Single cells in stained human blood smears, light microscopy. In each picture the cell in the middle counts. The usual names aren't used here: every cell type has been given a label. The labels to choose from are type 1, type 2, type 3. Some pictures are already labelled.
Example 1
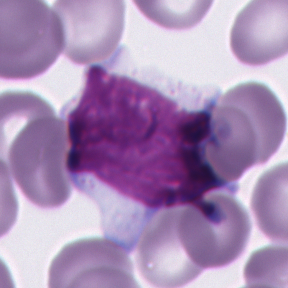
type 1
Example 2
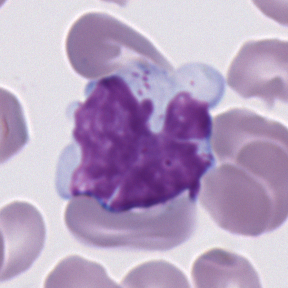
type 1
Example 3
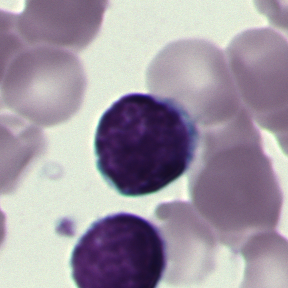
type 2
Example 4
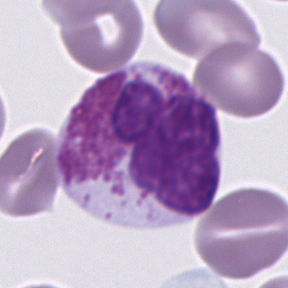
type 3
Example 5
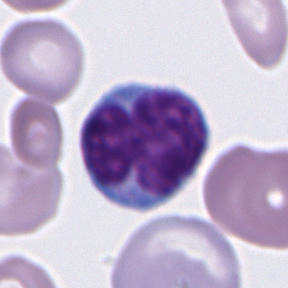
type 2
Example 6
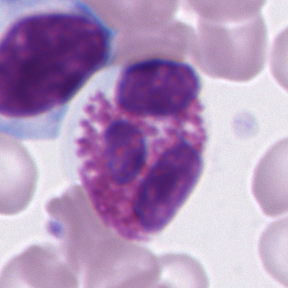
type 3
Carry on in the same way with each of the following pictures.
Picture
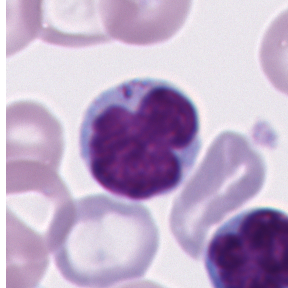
type 1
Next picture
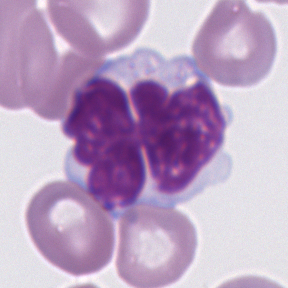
type 1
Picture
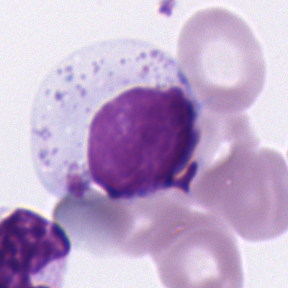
type 1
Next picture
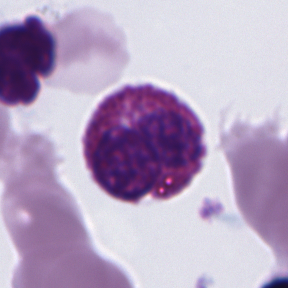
type 3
